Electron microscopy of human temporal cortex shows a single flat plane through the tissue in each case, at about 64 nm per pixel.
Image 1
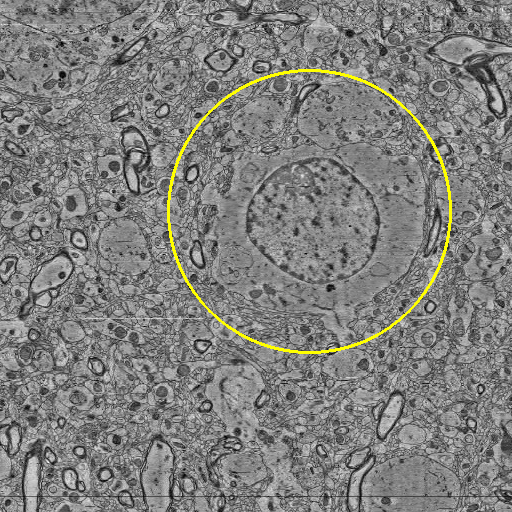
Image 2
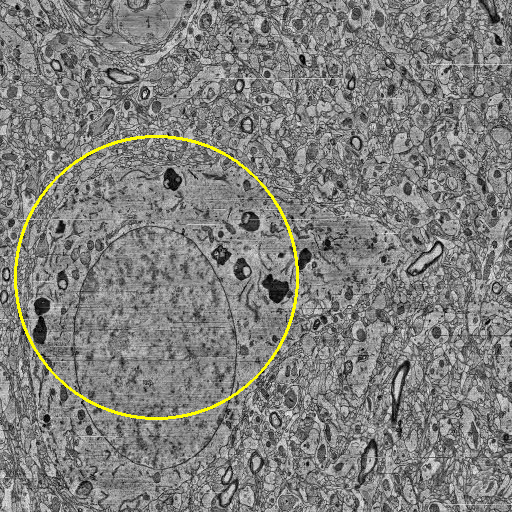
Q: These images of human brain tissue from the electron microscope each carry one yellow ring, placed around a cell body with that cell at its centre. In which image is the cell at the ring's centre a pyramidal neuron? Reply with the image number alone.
2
